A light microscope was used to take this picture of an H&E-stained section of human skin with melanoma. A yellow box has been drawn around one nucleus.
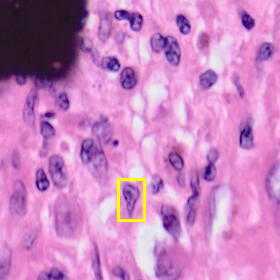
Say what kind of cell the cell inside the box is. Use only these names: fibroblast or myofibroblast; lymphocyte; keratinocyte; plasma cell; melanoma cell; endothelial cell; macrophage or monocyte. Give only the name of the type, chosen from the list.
macrophage or monocyte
